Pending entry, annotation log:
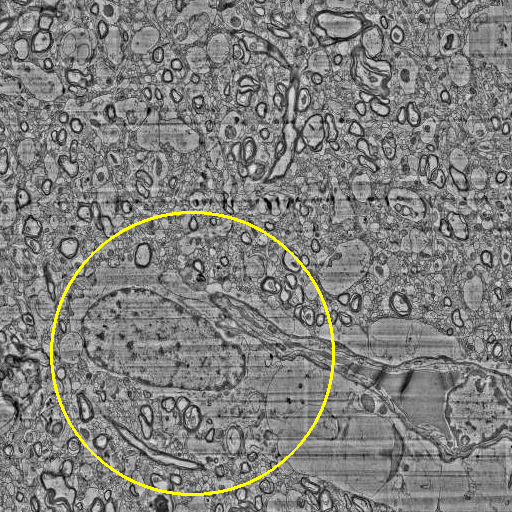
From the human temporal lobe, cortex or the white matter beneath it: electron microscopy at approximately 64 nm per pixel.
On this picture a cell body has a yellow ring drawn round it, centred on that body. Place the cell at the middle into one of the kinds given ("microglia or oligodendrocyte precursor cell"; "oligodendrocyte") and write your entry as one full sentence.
The cell body at the middle of the yellow ring belongs to a microglial cell or oligodendrocyte precursor cell.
